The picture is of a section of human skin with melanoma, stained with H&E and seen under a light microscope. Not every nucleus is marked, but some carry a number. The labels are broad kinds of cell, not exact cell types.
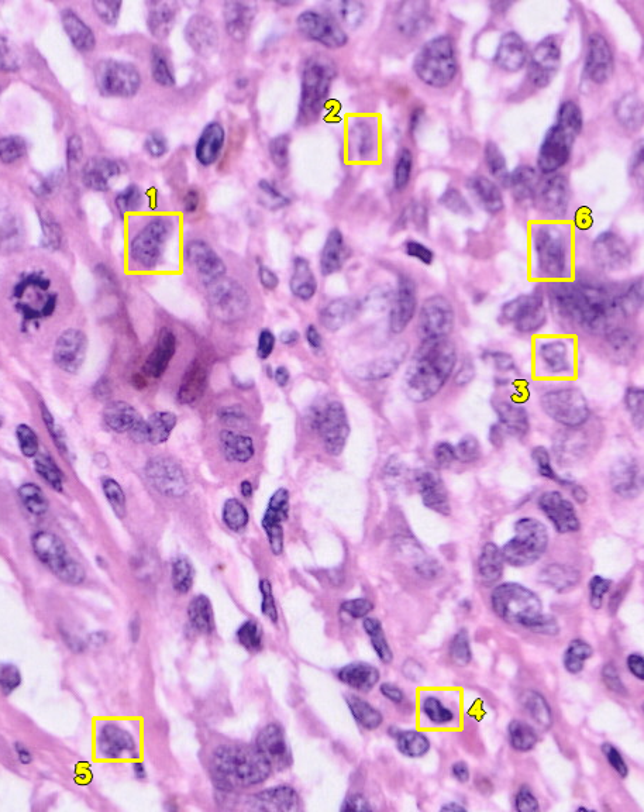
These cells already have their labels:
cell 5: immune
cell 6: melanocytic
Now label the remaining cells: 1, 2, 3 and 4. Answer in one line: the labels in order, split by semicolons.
melanocytic; melanocytic; immune; immune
